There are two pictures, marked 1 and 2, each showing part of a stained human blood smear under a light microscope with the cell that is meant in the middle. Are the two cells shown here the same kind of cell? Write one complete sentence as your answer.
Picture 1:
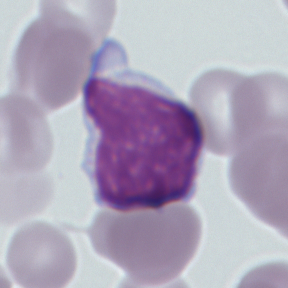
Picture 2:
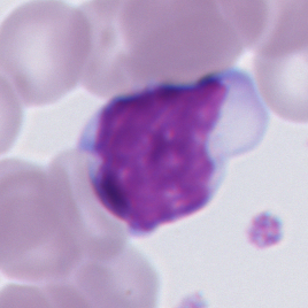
Yes, they are the same type: both are large granular lymphocytes.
